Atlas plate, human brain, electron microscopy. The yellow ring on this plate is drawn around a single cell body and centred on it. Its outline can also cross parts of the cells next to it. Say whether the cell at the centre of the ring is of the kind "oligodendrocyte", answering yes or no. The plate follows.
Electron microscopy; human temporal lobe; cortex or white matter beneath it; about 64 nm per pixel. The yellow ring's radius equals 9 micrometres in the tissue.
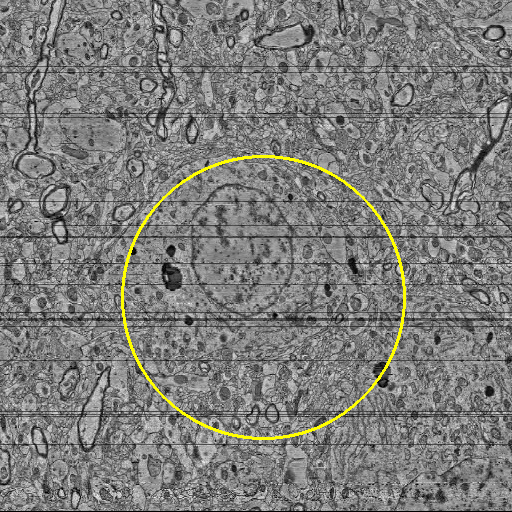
No, the cell is of another kind.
